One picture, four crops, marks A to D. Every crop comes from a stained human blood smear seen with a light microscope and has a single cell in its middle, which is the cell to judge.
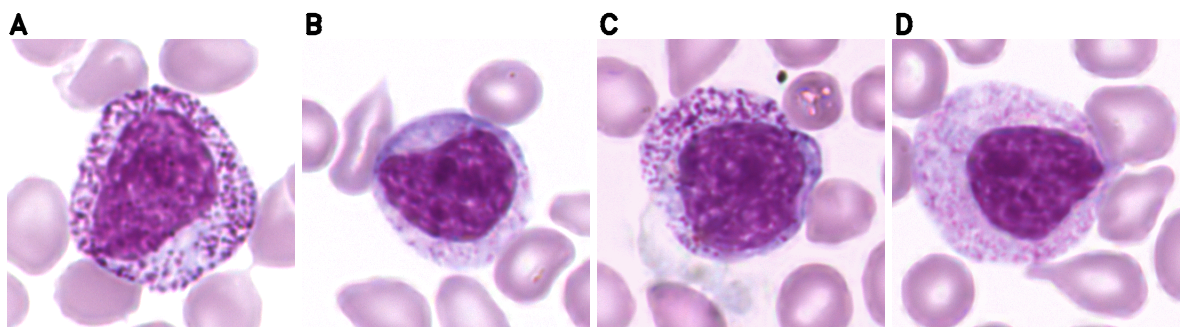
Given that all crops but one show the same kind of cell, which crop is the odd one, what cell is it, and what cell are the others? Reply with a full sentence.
For this set, crop B is a metamyelocyte, and all the rest are myelocytes.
